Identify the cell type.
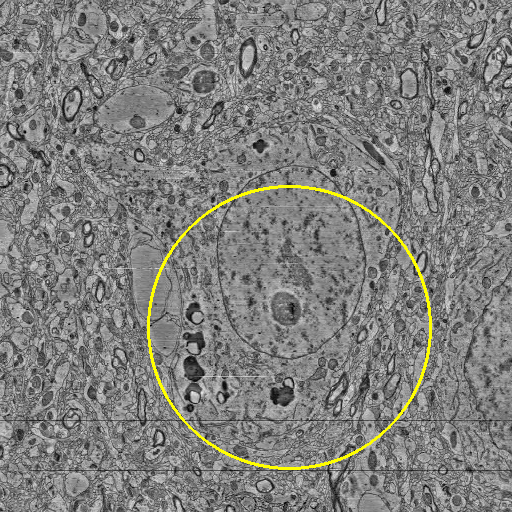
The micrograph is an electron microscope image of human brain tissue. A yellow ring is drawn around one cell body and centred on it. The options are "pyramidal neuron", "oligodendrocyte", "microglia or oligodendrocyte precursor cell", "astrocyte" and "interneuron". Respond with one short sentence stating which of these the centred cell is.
The cell body in the ring belongs to a pyramidal neuron.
